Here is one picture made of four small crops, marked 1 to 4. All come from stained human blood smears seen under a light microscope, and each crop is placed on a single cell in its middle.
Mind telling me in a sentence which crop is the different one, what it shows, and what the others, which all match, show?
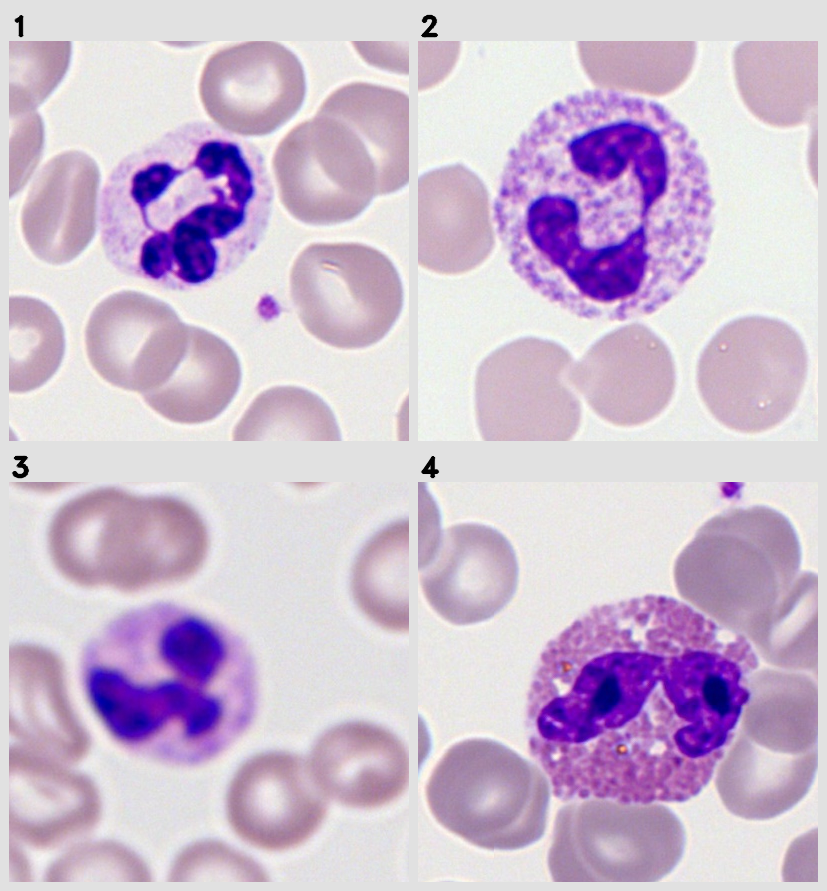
A different cell type, an eosinophil, occupies crop 4; the other crops show segmented neutrophils.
